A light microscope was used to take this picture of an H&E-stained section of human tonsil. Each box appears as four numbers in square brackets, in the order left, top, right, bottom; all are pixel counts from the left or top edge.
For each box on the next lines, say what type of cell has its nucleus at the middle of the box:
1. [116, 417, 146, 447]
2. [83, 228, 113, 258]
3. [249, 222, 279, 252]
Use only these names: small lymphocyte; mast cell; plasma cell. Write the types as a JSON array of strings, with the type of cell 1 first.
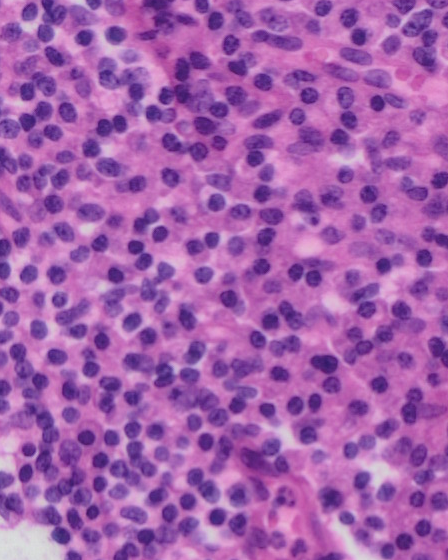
["small lymphocyte", "plasma cell", "plasma cell"]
